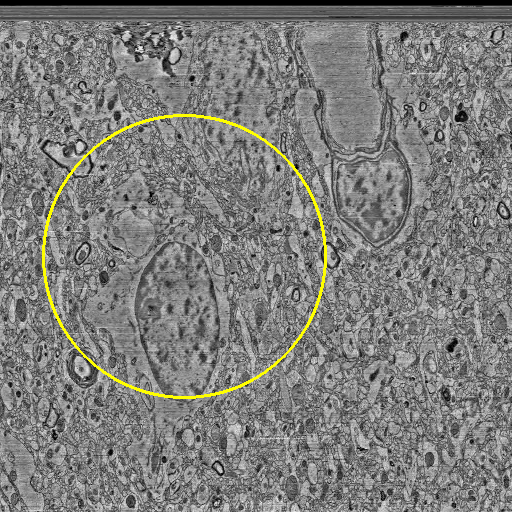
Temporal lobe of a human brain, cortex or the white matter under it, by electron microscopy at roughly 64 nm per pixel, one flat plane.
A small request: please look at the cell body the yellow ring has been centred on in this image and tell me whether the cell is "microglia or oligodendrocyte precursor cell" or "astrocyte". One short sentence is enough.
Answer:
The cell marked by the ring is an astrocyte.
